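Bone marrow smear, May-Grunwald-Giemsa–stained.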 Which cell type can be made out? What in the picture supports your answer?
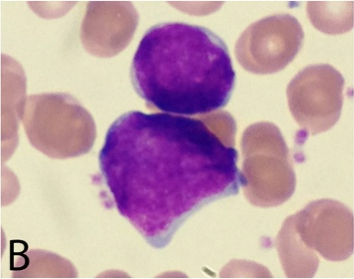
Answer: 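Blast cells. Two nucleated cells whose nuclei fill almost the whole cell. Fine, delicate purple chromatin. Scant pale blue cytoplasm. One cell is clearly larger than the other.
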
